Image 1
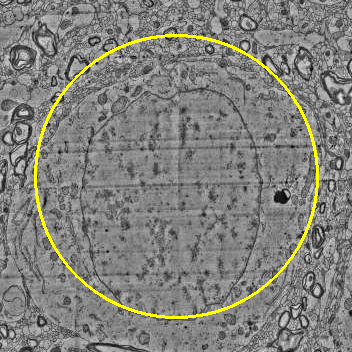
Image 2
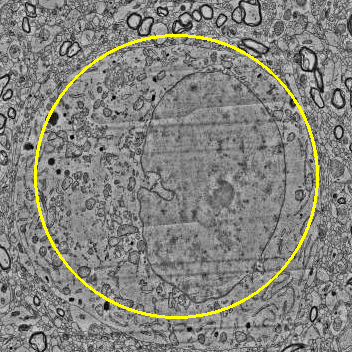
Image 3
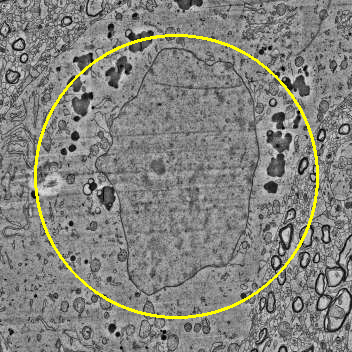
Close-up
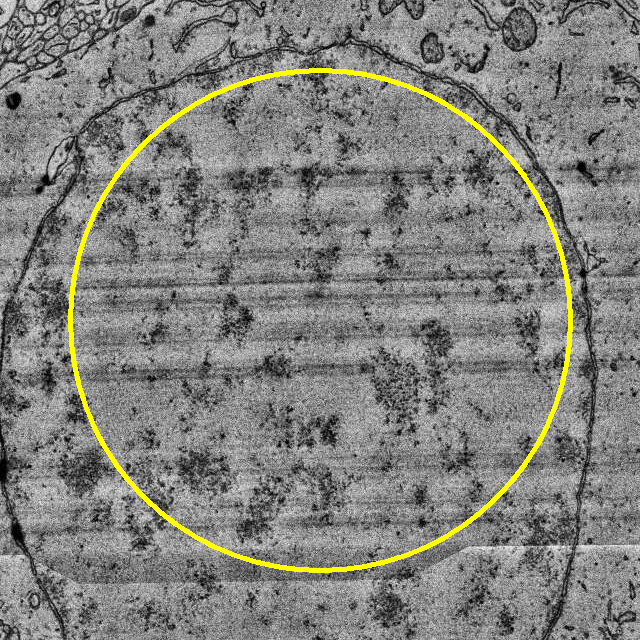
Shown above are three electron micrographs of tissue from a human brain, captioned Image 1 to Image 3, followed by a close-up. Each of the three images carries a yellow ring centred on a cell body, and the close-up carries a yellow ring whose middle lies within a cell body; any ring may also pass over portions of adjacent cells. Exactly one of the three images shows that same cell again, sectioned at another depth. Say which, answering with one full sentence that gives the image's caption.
The cell shown in the close-up is the one marked in Image 1.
